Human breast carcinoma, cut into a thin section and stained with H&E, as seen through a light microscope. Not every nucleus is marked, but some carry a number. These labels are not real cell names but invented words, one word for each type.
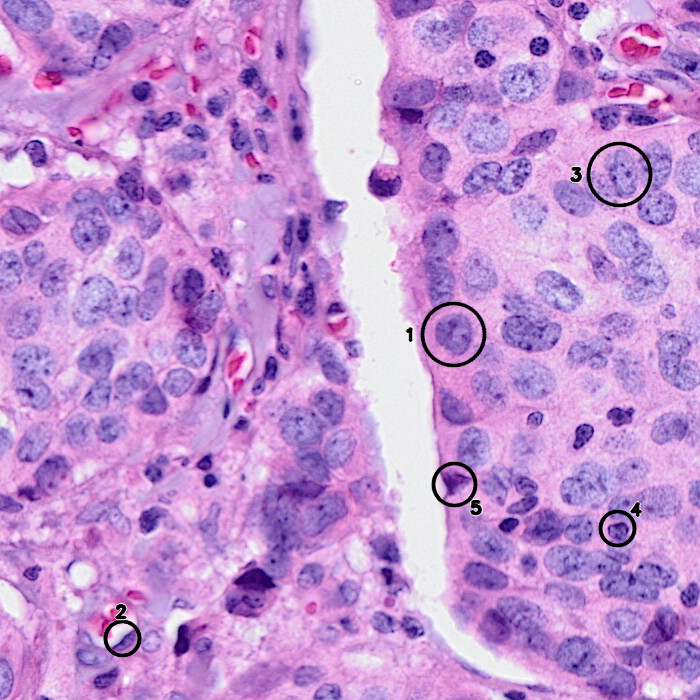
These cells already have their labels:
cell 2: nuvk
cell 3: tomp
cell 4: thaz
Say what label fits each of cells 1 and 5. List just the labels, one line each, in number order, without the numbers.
tomp
tomp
